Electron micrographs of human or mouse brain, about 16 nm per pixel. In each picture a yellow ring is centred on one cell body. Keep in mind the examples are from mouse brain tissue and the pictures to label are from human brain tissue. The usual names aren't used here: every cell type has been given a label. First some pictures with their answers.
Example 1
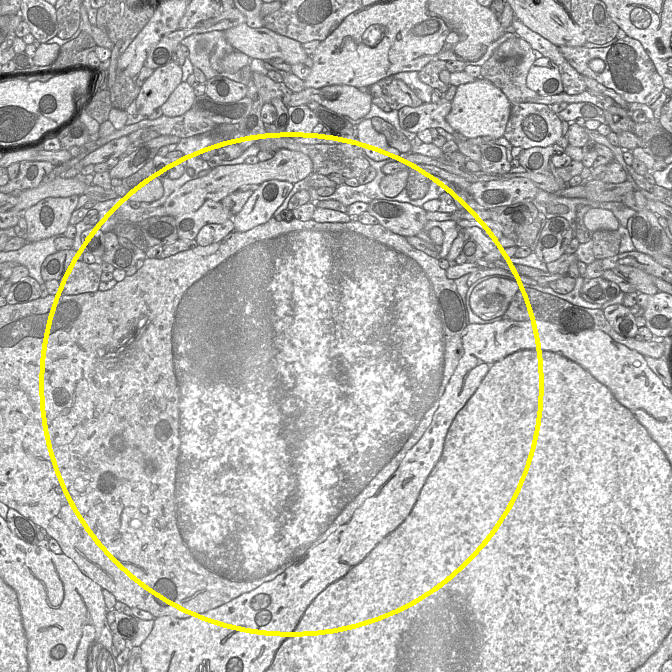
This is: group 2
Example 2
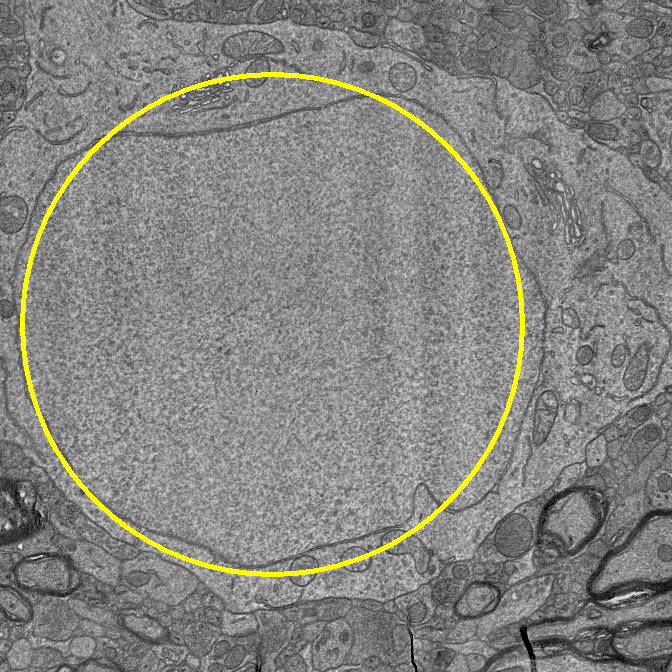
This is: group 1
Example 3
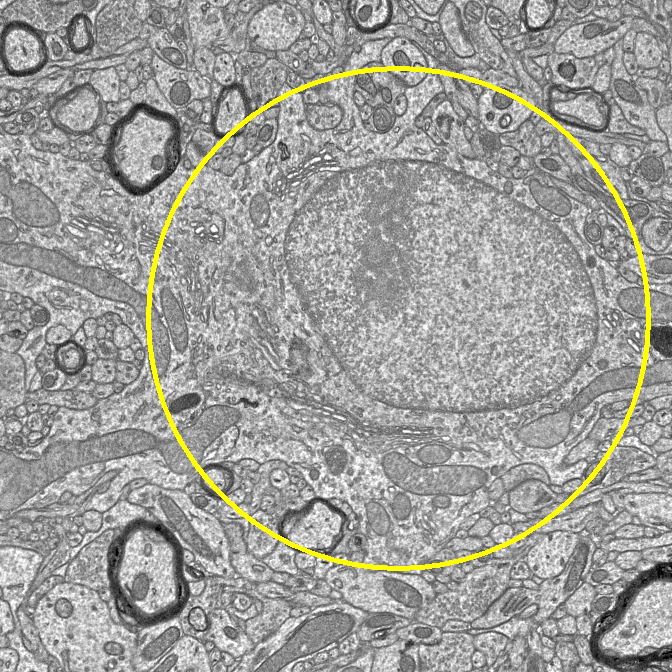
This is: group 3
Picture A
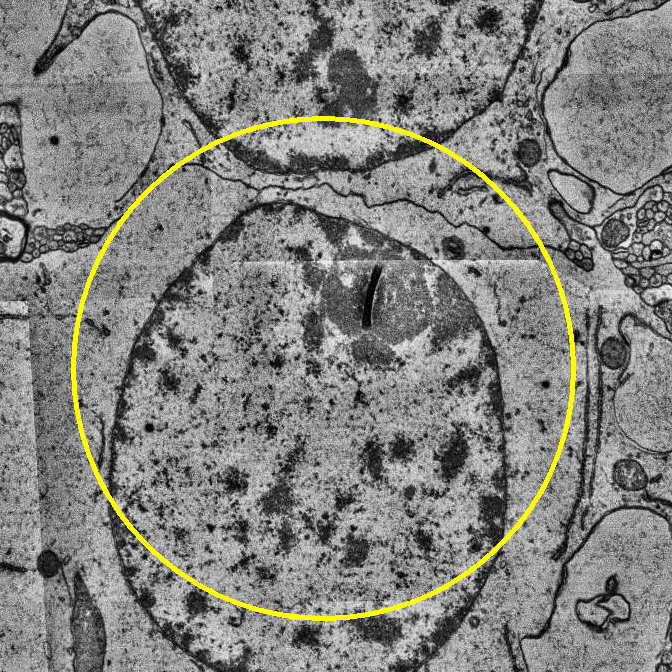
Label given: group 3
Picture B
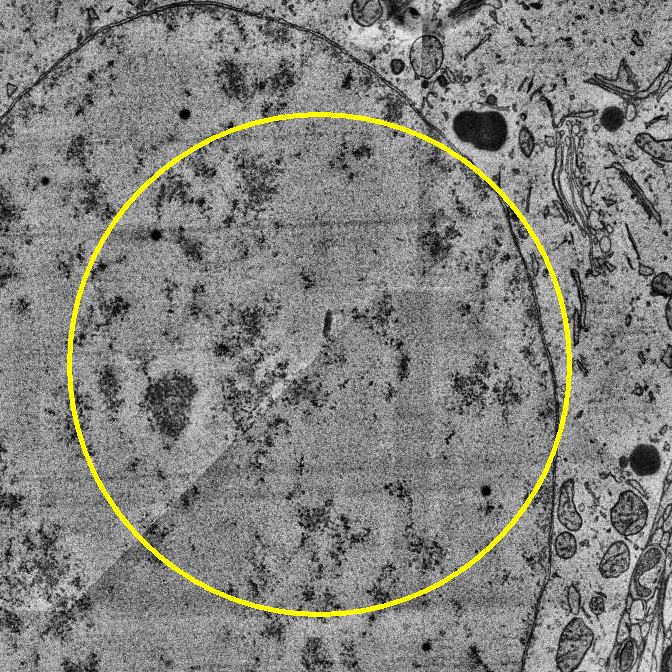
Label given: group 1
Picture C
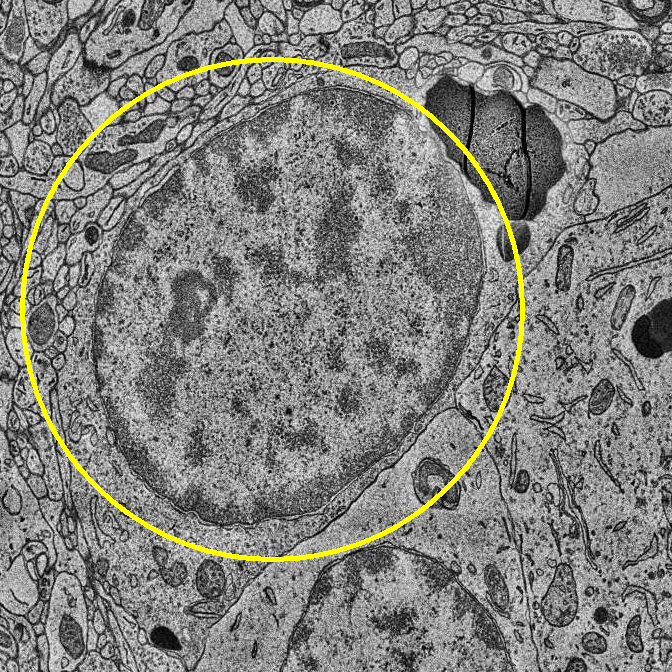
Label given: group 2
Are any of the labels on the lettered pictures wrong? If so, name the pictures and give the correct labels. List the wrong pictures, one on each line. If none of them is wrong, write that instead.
No label is wrong.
